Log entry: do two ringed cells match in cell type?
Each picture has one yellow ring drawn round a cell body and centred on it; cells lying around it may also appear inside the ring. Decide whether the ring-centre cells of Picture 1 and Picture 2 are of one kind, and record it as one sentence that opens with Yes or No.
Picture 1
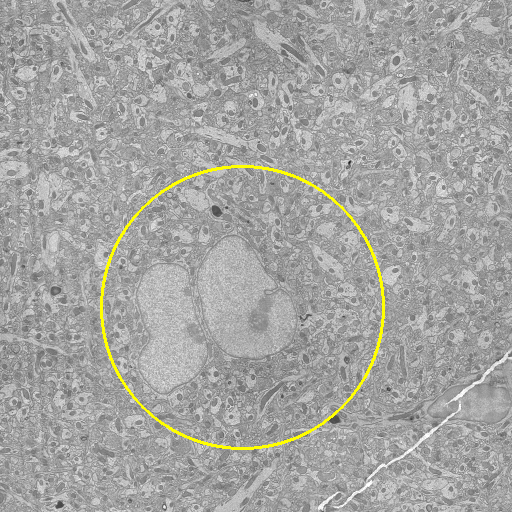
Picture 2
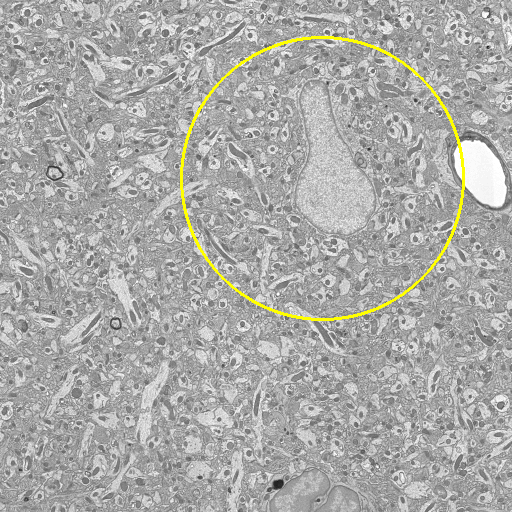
Yes, the cells at the ring centres of the two pictures belong to one kind.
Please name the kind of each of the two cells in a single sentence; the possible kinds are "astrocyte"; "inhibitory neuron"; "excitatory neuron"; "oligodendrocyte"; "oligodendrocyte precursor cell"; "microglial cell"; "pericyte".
In both pictures the ring is centred on an astrocyte.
